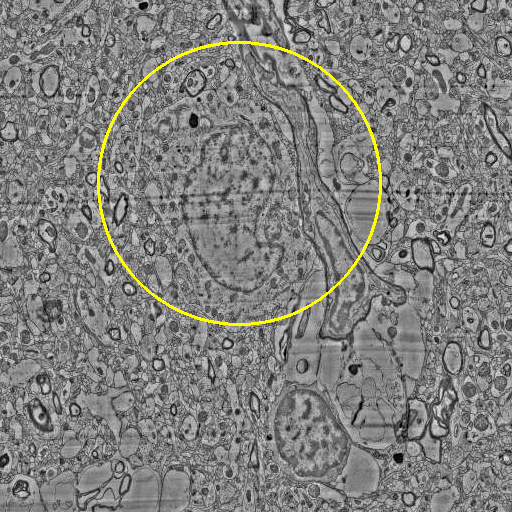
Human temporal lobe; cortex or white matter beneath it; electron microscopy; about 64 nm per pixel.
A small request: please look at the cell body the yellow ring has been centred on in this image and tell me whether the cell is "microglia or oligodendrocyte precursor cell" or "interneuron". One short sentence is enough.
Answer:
The cell marked by the ring is an interneuron.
